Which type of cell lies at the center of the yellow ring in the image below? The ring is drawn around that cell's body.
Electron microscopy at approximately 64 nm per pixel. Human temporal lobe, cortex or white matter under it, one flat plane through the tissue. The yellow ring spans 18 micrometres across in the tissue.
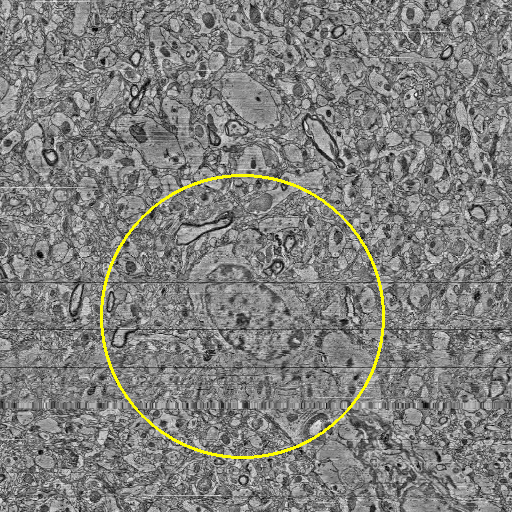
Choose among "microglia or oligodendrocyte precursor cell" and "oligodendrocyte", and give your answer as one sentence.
The cell body at the center belongs to a microglial cell or oligodendrocyte precursor cell.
